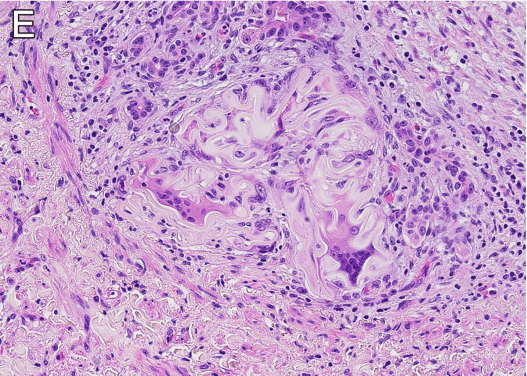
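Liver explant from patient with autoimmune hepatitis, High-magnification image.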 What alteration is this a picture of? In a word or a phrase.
Granulomatous inflammatory reaction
